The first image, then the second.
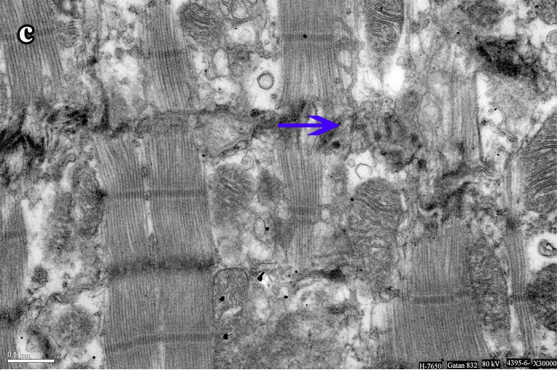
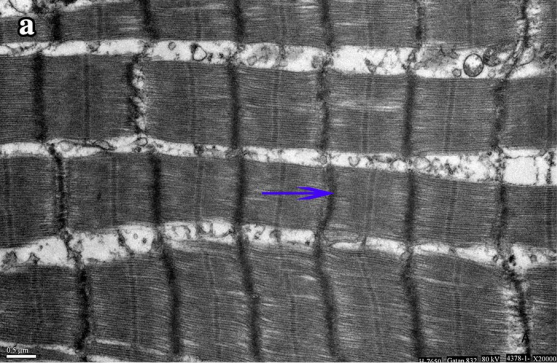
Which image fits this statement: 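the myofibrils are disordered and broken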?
The first image.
